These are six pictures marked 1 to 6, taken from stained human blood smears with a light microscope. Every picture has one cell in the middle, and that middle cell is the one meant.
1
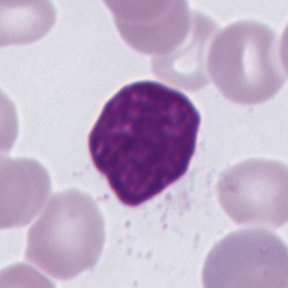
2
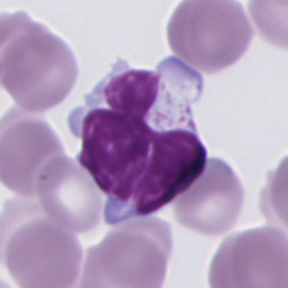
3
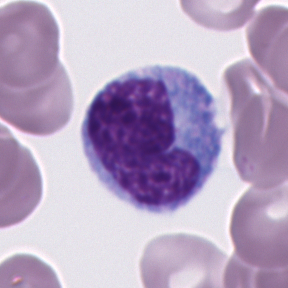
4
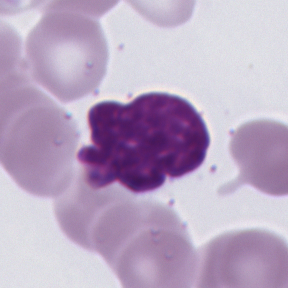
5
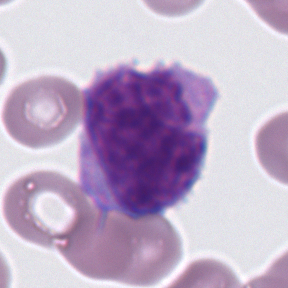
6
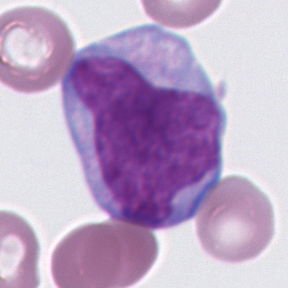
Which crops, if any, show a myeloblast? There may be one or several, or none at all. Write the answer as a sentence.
Not represented in any of the crops is a myeloblast.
